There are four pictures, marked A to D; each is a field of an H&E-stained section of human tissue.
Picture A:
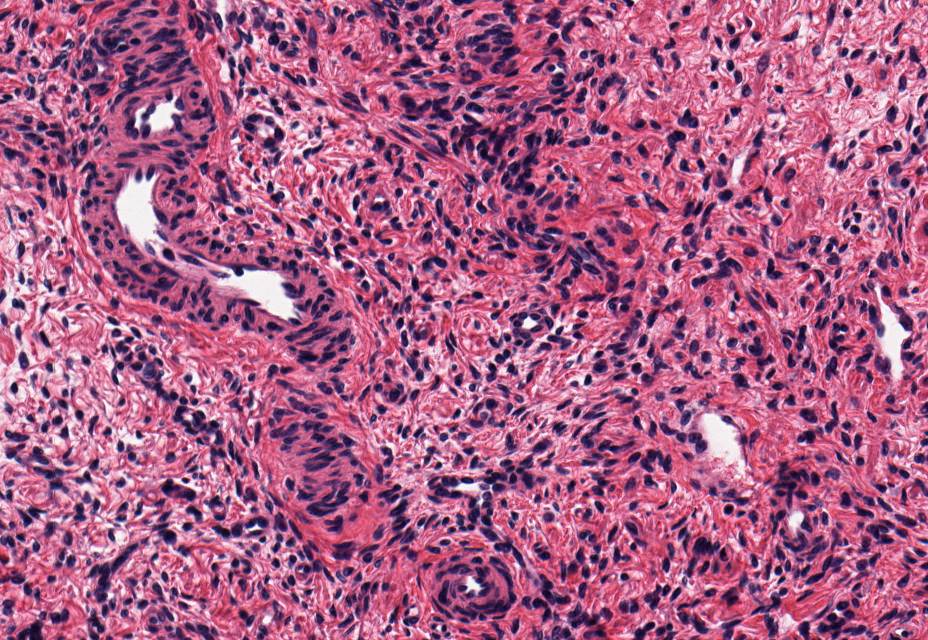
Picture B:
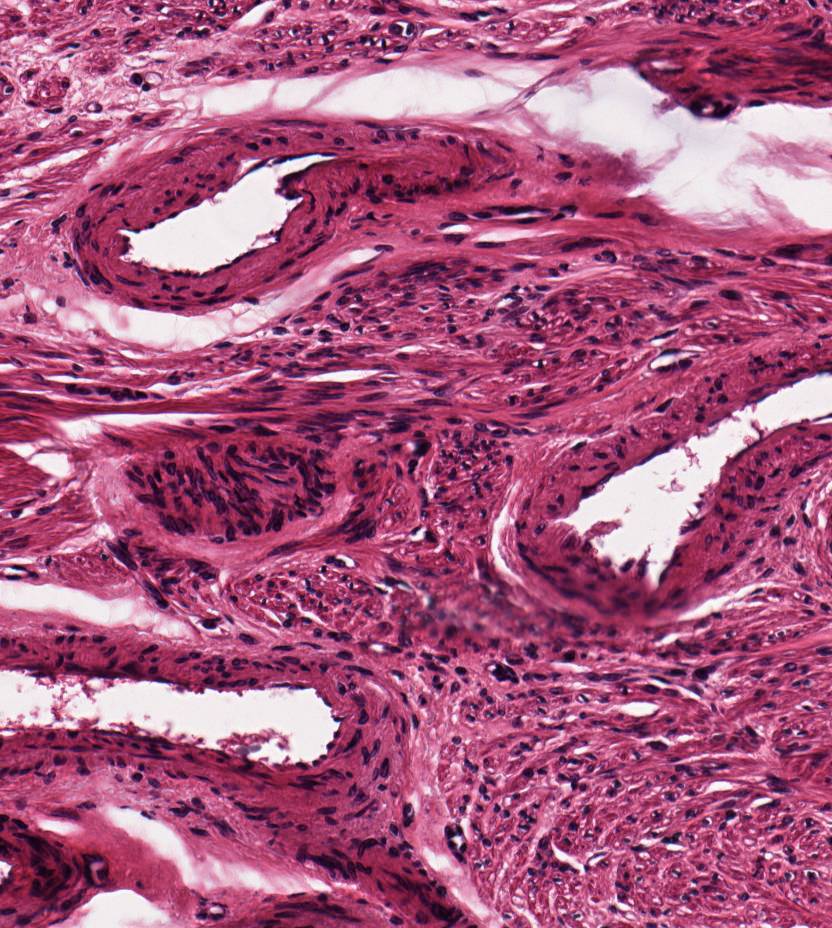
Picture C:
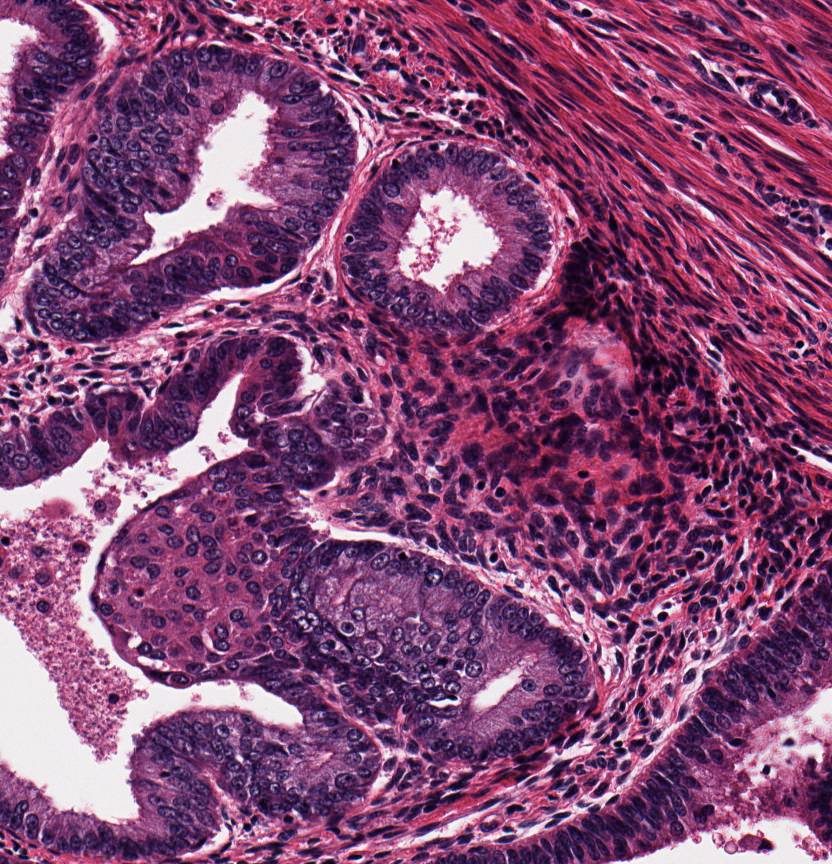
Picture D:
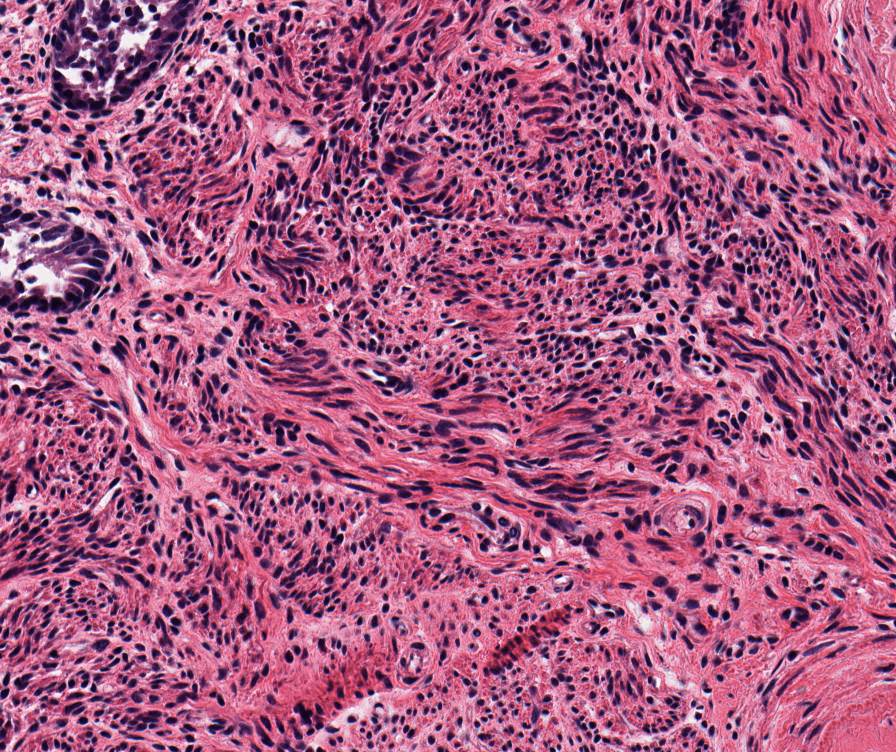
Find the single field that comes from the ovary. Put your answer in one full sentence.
It is picture A that comes from the ovary.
